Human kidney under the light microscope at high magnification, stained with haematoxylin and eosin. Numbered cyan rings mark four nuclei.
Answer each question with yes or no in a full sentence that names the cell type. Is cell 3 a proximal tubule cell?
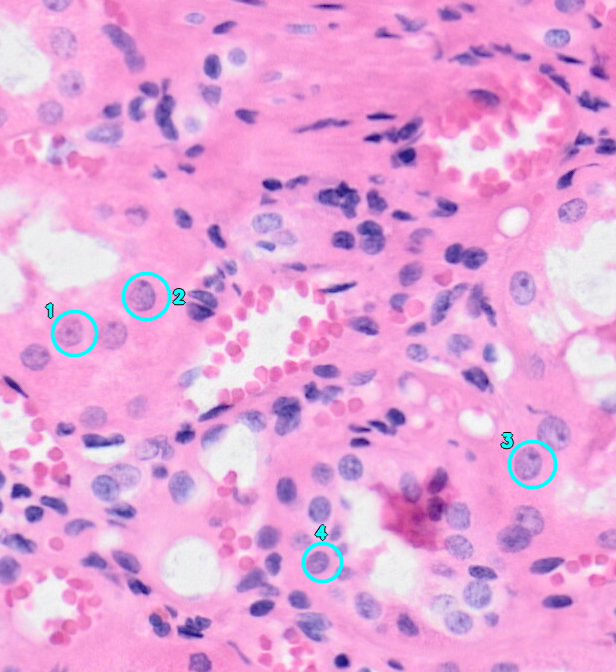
Yes, the cell carrying label 3 is a proximal tubule cell.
